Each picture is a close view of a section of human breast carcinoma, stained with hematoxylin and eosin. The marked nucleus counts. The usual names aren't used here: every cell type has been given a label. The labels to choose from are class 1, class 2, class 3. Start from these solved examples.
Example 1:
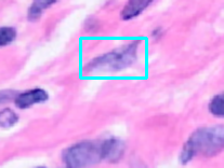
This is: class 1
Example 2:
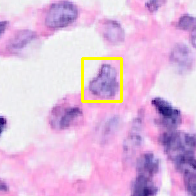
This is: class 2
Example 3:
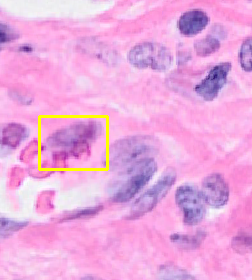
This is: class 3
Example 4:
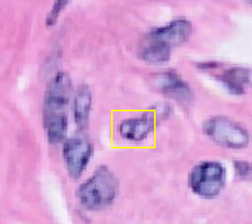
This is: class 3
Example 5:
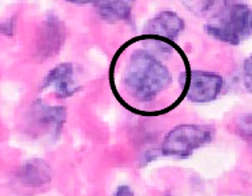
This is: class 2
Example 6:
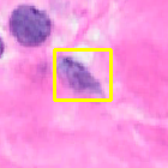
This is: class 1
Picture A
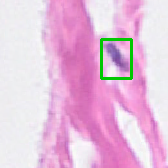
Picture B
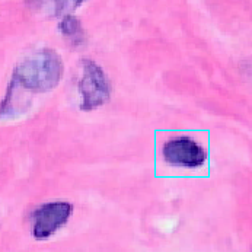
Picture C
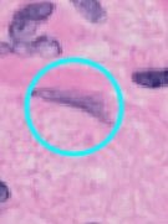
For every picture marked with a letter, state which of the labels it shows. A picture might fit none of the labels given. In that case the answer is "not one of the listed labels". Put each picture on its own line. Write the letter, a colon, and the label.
A: class 1
B: not one of the listed labels
C: class 1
